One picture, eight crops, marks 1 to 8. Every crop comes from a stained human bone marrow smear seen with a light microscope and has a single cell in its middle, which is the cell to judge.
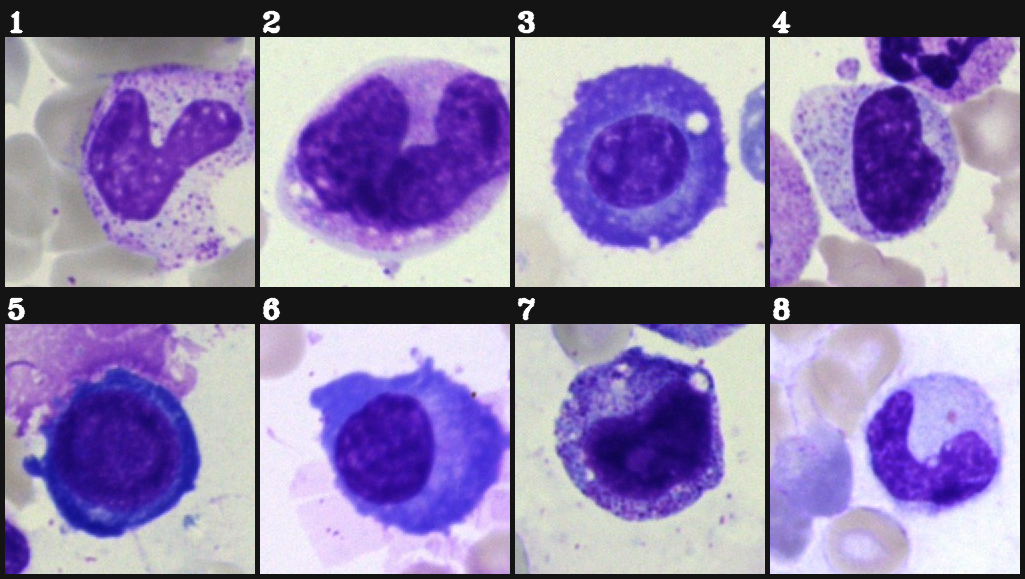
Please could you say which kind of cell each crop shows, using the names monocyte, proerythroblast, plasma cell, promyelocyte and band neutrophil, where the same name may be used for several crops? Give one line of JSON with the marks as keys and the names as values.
{"1": "band neutrophil", "2": "monocyte", "3": "plasma cell", "4": "band neutrophil", "5": "proerythroblast", "6": "plasma cell", "7": "promyelocyte", "8": "band neutrophil"}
